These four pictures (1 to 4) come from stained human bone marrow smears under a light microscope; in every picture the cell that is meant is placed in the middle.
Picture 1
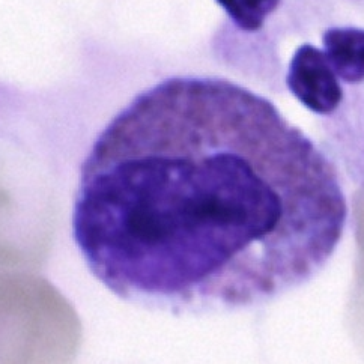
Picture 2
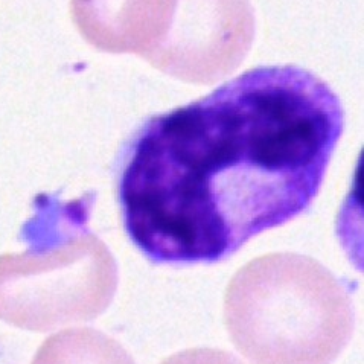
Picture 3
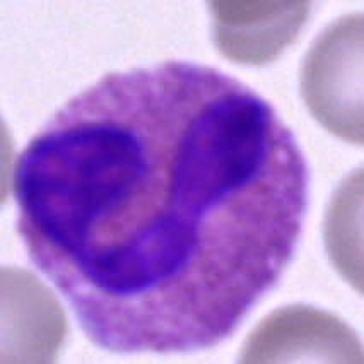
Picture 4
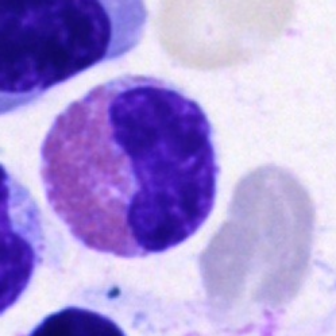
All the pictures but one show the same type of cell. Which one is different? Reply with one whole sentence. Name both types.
The others show eosinophils, but picture 2 shows a band neutrophil.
